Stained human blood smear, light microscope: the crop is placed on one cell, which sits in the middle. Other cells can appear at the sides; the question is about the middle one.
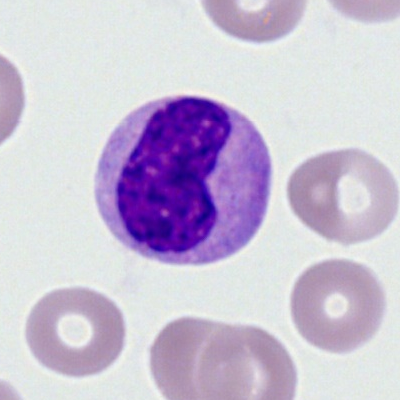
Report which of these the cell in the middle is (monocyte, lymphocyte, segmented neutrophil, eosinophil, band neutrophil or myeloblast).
band neutrophil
